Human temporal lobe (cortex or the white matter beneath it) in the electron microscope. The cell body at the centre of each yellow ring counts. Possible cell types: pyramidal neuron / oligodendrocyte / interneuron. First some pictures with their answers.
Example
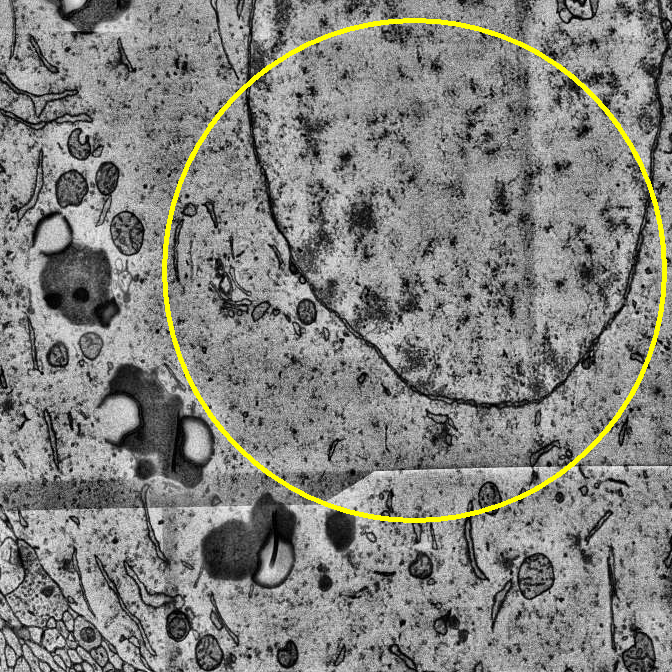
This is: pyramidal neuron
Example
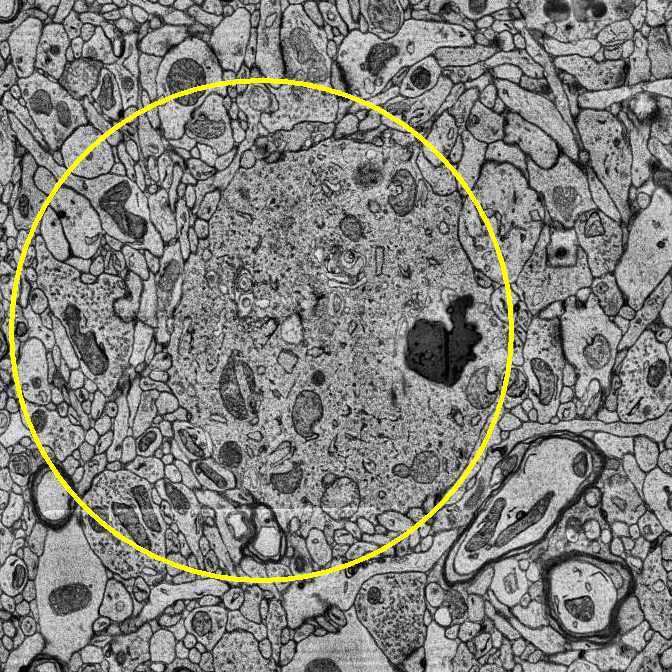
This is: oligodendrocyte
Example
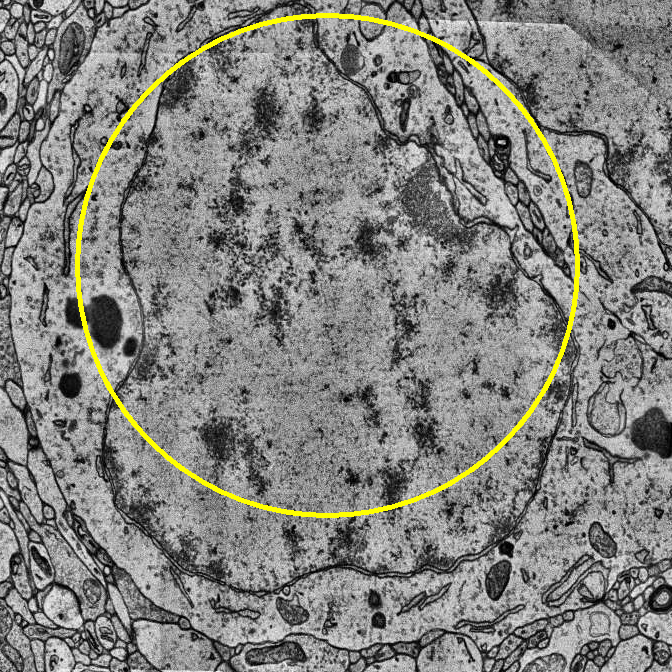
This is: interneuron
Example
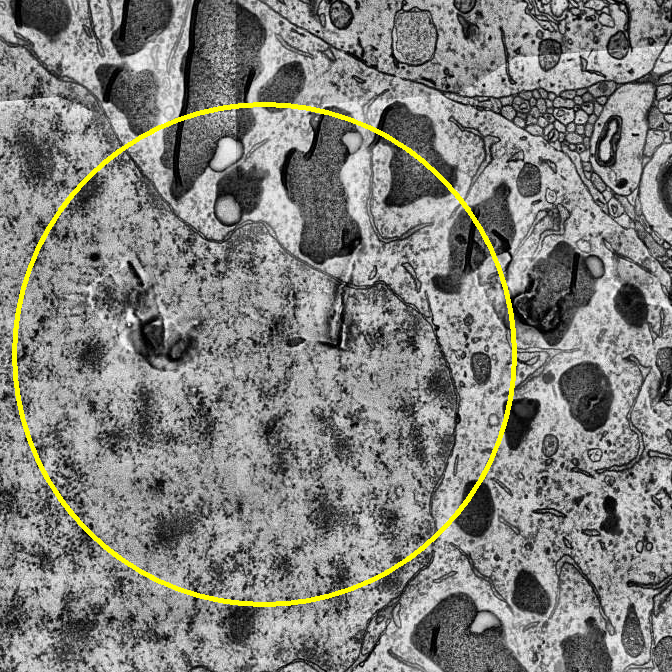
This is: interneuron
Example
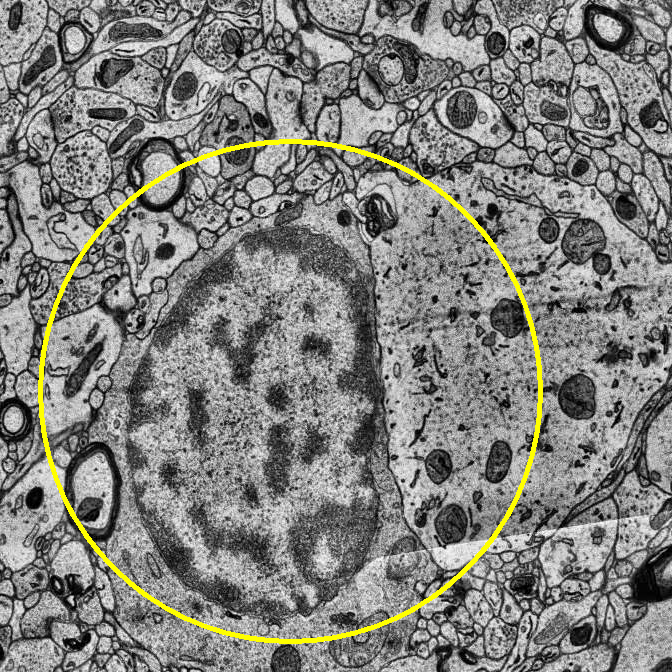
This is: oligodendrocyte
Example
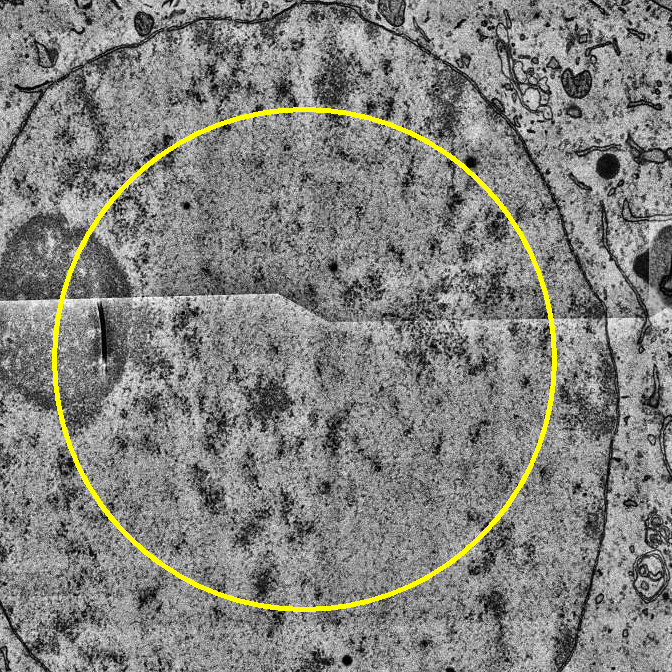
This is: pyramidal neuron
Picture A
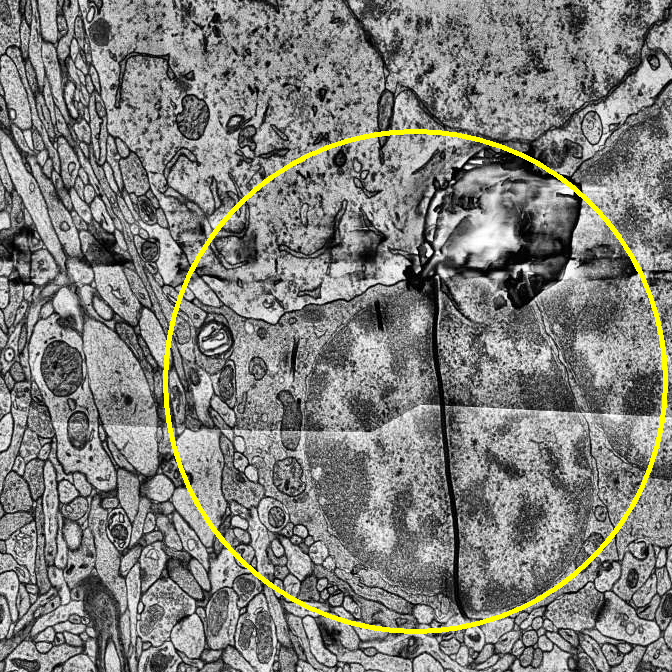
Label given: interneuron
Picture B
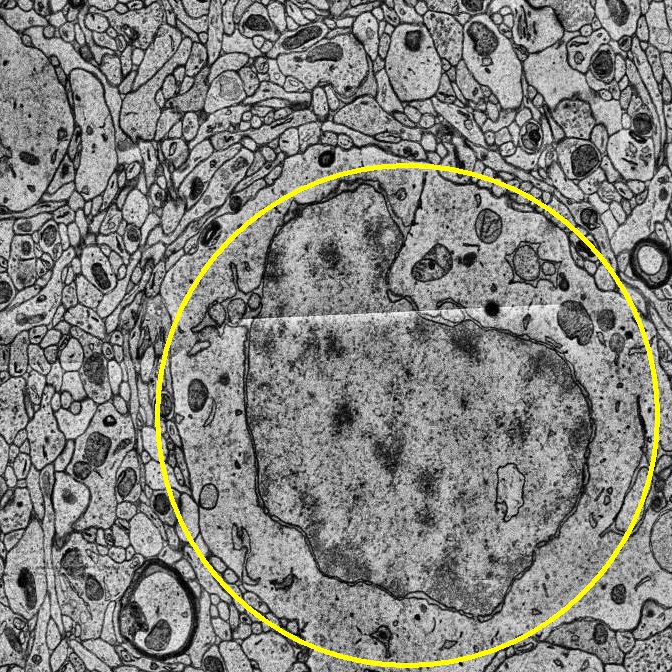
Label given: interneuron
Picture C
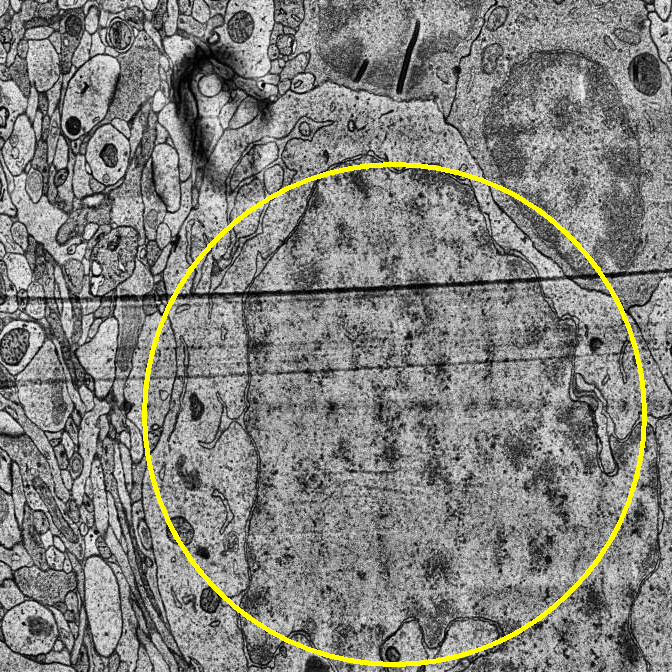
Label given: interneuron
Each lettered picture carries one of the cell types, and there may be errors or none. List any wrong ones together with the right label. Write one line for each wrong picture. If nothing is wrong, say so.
Wrong: A (interneuron); correct: oligodendrocyte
